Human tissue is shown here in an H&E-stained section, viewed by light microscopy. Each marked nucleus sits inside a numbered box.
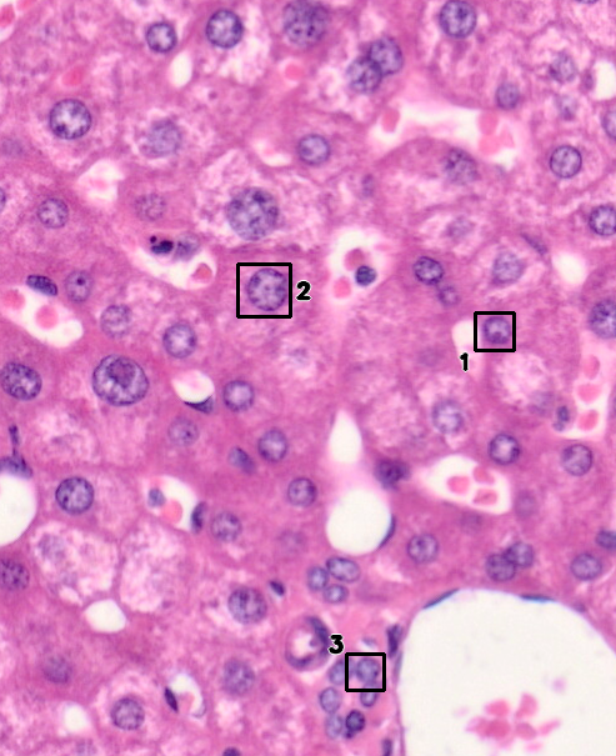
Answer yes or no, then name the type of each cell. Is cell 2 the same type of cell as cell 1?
Yes, both are hepatocytes.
